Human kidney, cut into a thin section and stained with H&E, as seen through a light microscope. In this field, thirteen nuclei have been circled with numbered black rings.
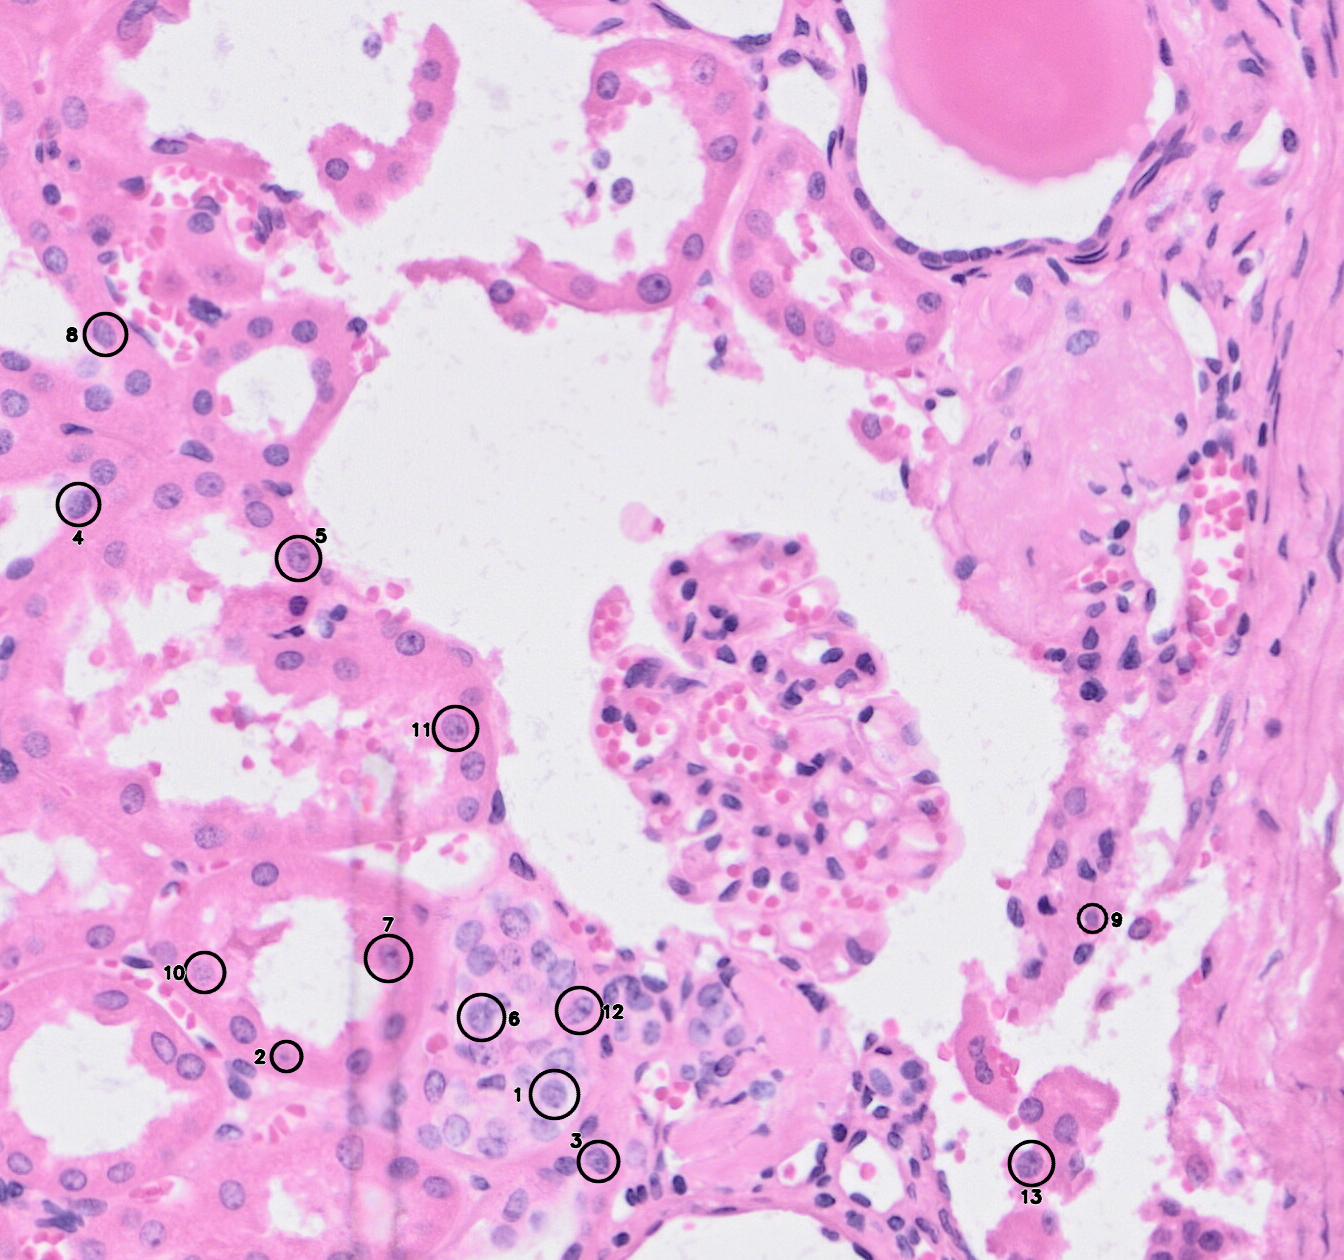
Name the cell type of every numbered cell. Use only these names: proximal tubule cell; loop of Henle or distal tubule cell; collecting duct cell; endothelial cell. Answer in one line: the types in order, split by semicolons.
collecting duct cell; proximal tubule cell; collecting duct cell; loop of Henle or distal tubule cell; proximal tubule cell; collecting duct cell; proximal tubule cell; loop of Henle or distal tubule cell; endothelial cell; proximal tubule cell; proximal tubule cell; collecting duct cell; proximal tubule cell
